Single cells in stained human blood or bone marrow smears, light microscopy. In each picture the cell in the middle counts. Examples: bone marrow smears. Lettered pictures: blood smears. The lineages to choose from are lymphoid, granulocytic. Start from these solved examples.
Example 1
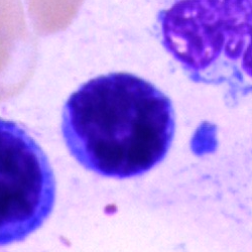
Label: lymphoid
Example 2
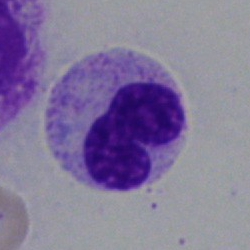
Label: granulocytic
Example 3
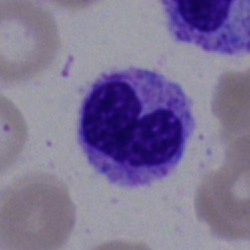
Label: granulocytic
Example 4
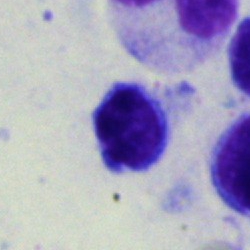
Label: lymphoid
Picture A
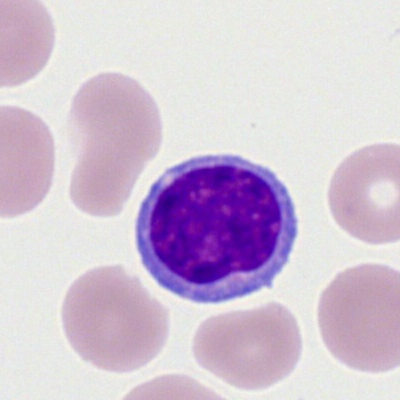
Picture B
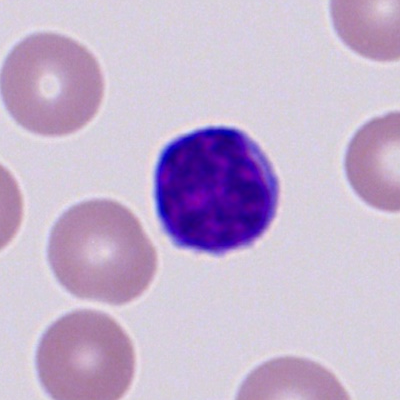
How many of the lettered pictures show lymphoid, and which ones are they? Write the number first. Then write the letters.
Count: 2 (A, B)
